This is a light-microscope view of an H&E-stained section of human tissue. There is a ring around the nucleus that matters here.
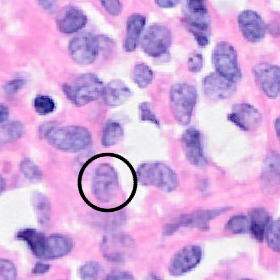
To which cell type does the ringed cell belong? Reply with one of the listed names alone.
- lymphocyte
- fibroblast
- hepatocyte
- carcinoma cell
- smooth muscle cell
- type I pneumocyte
carcinoma cell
